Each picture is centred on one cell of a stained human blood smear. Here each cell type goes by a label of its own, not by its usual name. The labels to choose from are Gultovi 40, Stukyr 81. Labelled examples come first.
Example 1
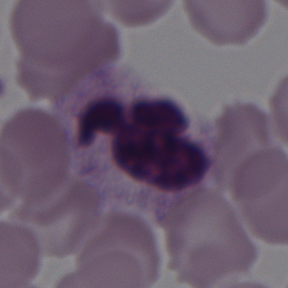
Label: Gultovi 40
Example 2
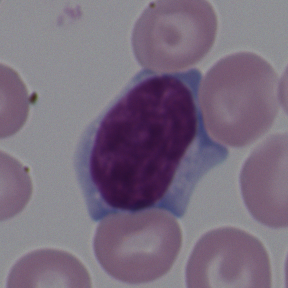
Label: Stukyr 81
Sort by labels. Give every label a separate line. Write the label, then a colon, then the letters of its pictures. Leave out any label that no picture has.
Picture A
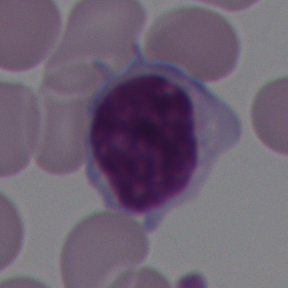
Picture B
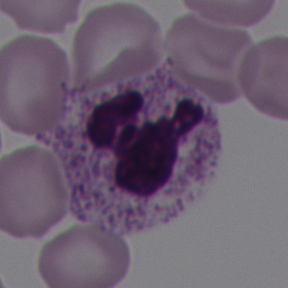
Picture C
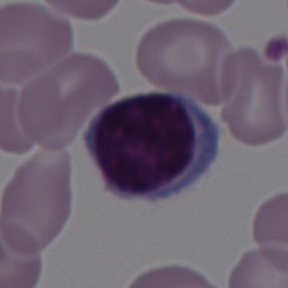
Gultovi 40: B
Stukyr 81: A, C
